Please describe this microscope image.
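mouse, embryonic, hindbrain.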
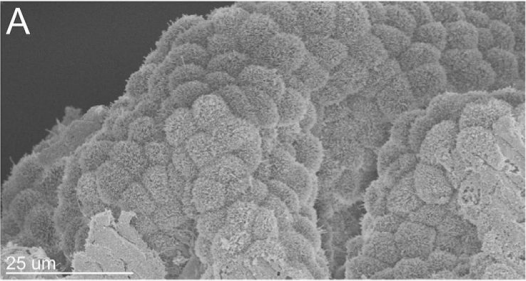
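This is the surface of choroid plexus seen by scanning electron microscopy. The tissue is folded into rounded lobes. These are covered by a continuous sheet of epithelial cells. Each cell bulges as a small dome. The domes are packed together like cobblestones, and their boundaries are marked by shallow grooves. The apical surface of every cell is fuzzy with a dense coat of microvilli.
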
